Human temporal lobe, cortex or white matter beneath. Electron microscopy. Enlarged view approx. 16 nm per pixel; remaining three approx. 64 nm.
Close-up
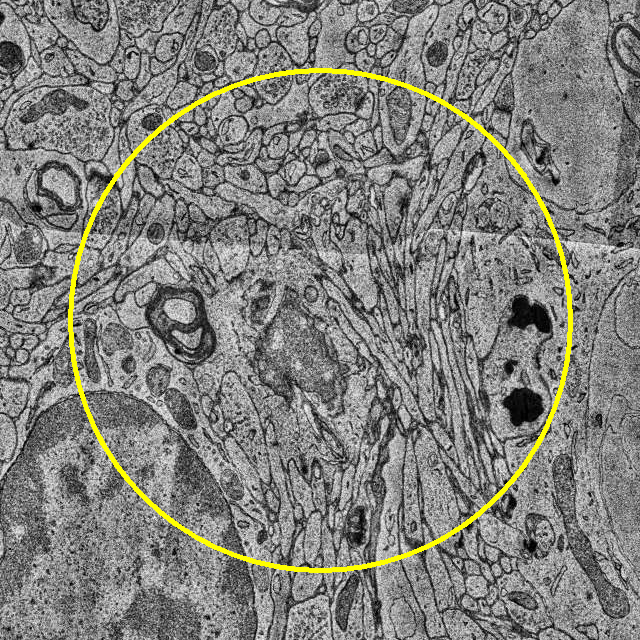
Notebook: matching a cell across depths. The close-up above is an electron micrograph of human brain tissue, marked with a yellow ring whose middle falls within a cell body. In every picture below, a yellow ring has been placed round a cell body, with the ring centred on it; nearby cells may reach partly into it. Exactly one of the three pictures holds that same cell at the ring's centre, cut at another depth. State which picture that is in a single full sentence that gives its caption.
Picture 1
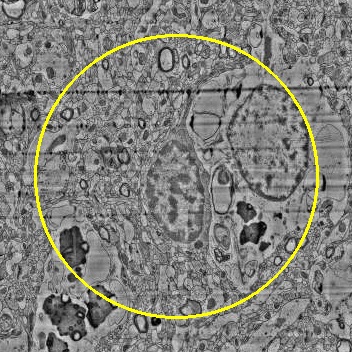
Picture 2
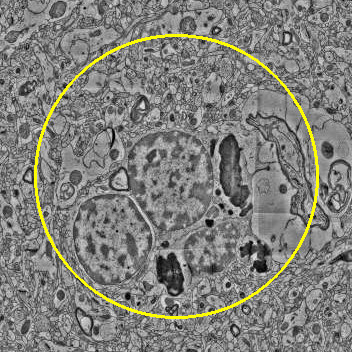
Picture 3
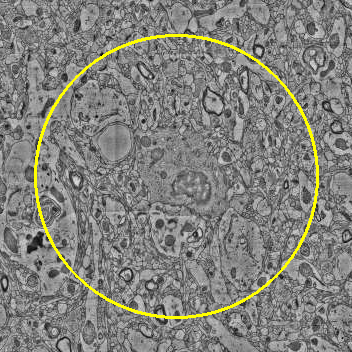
The ringed cell in Picture 2 is the subject of the close-up.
